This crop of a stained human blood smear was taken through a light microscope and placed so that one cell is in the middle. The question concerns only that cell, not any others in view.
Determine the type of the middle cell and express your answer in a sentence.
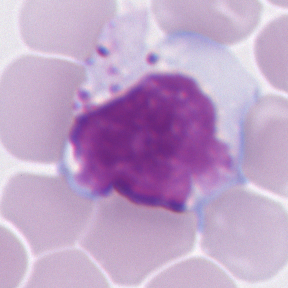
By classification, the middle cell of this crop is a large granular lymphocyte.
